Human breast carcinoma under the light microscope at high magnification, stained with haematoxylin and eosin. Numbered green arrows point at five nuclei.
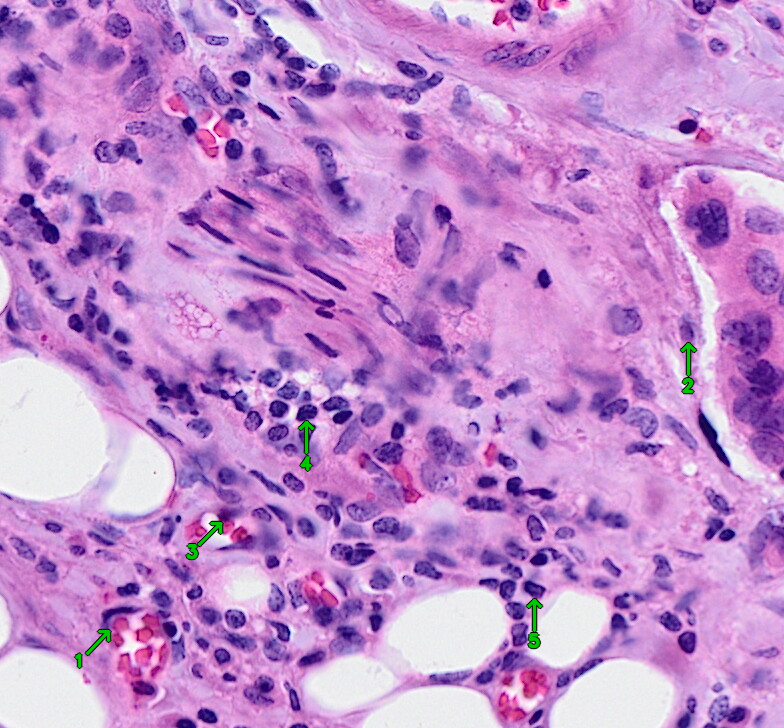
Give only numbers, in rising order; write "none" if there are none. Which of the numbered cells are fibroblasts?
2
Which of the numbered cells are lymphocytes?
4, 5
